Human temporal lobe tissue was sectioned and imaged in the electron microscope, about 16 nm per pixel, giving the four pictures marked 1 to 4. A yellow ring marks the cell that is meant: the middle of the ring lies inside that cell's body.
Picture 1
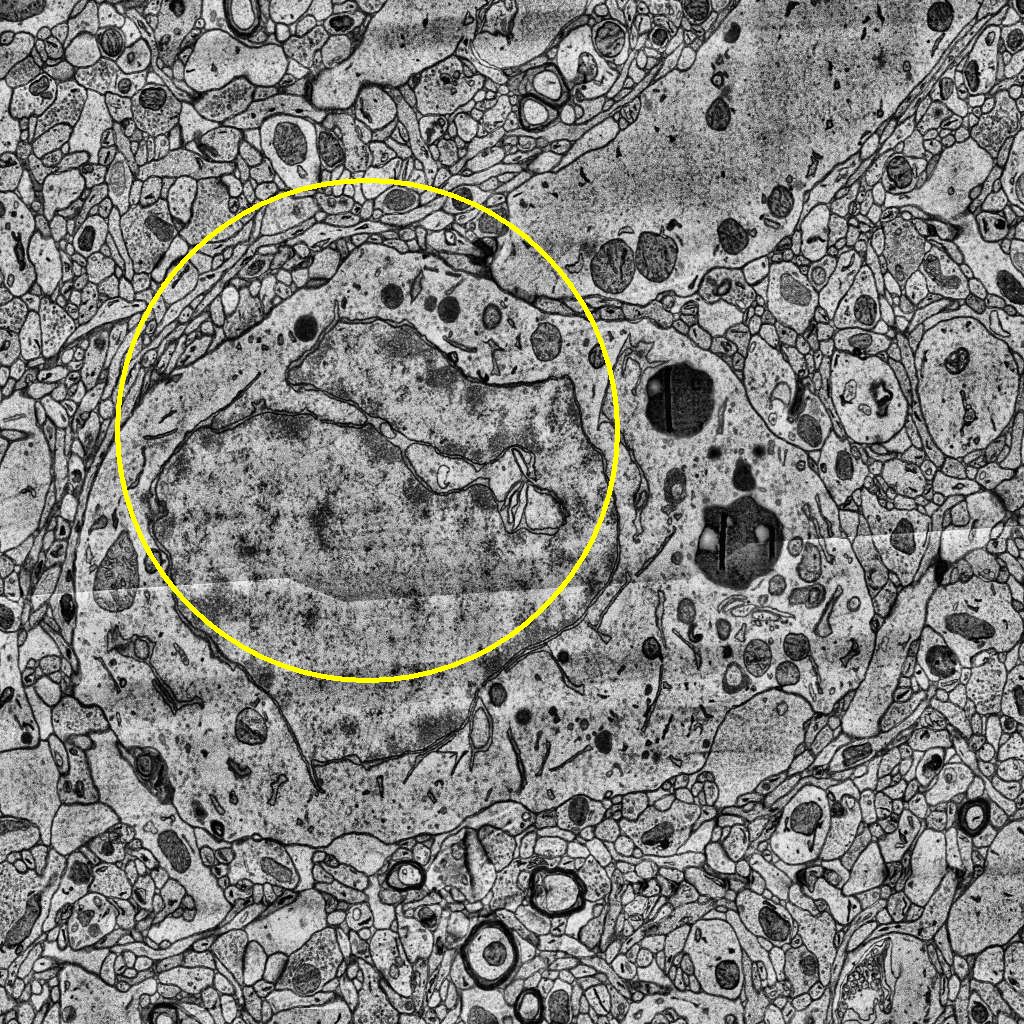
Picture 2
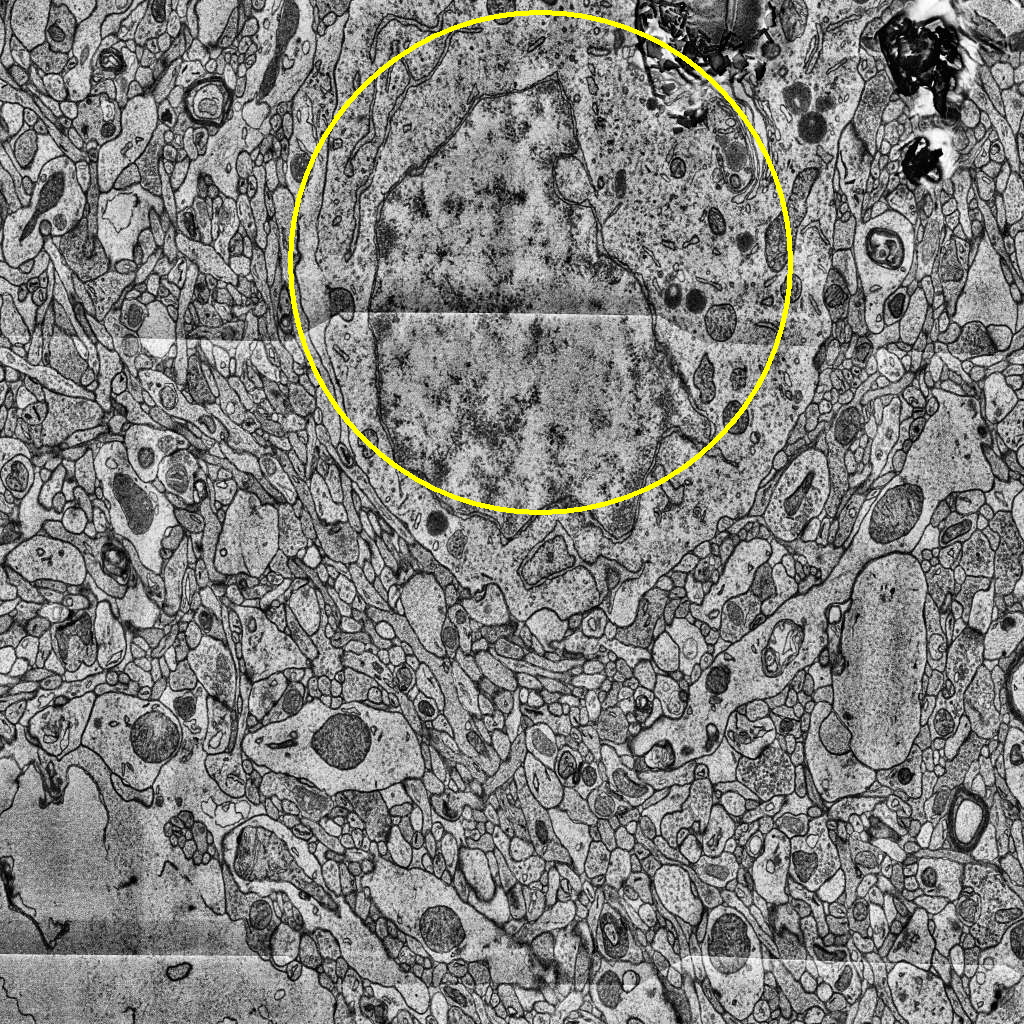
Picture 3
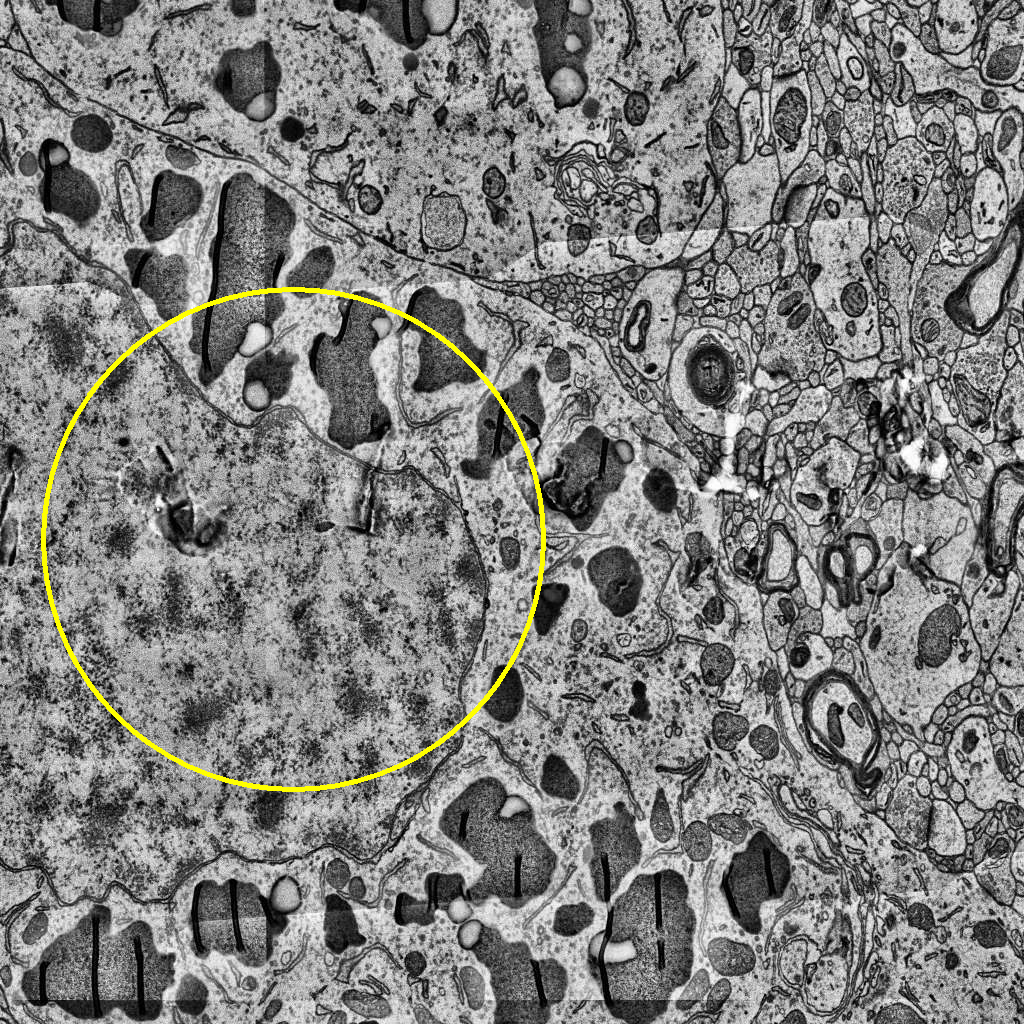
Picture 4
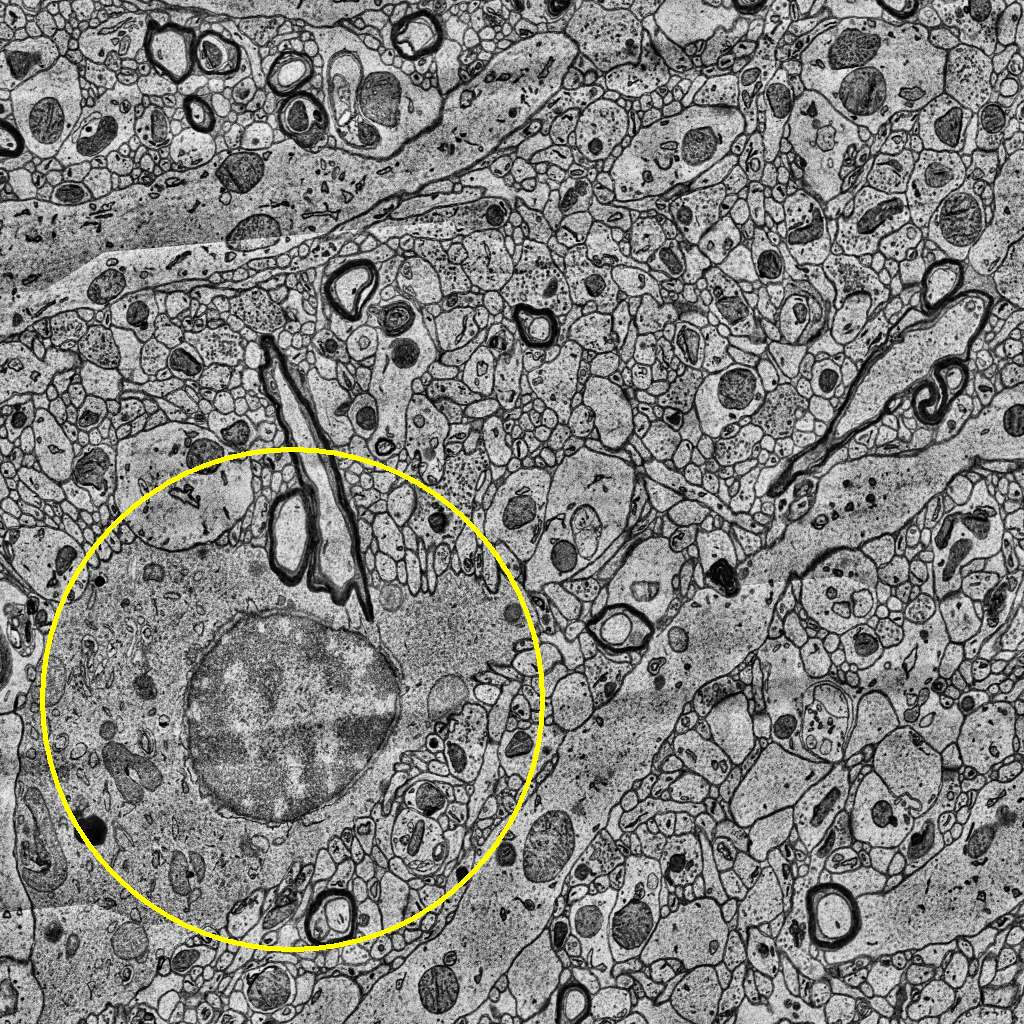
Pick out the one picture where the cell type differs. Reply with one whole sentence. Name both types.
Unlike the rest, which show interneurons, picture 4 shows an oligodendrocyte.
